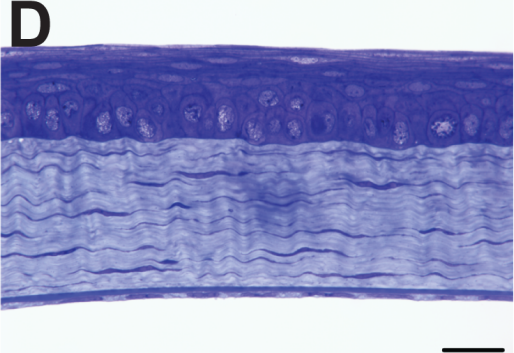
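A cornea in cross-section, with a stratified epithelium on top and a thick stroma beneath. The epithelium is several cells deep and stains dark blue; its lower cells have rounded to oval pale nuclei with dark specks of chromatin, packed side by side, while the surface cells are flatter. The epithelium sits directly on the stroma with no gap. The stroma is made of many pale blue, wavy, parallel lamellae stacked evenly, with thin dark elongated nuclei of flattened cells lying between them. A thin, smooth lining runs along the deepest surface. The layers look regular and intact.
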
